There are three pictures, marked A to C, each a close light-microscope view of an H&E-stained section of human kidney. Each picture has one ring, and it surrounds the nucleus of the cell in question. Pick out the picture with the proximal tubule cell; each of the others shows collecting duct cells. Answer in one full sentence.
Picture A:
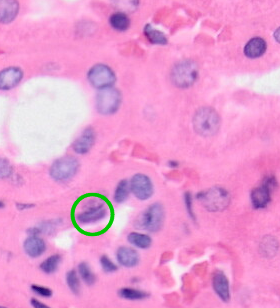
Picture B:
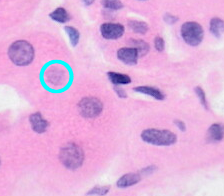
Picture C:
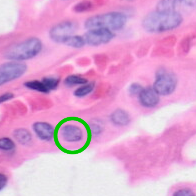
Picture B shows the proximal tubule cell.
